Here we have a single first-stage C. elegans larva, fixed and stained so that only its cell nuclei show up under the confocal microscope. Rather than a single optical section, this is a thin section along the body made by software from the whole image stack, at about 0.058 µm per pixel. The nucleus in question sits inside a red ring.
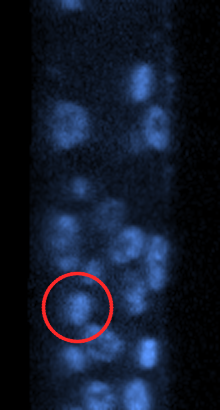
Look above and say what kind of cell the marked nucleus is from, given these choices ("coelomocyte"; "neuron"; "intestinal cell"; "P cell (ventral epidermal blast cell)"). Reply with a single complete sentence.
The marked nucleus belongs to a coelomocyte.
